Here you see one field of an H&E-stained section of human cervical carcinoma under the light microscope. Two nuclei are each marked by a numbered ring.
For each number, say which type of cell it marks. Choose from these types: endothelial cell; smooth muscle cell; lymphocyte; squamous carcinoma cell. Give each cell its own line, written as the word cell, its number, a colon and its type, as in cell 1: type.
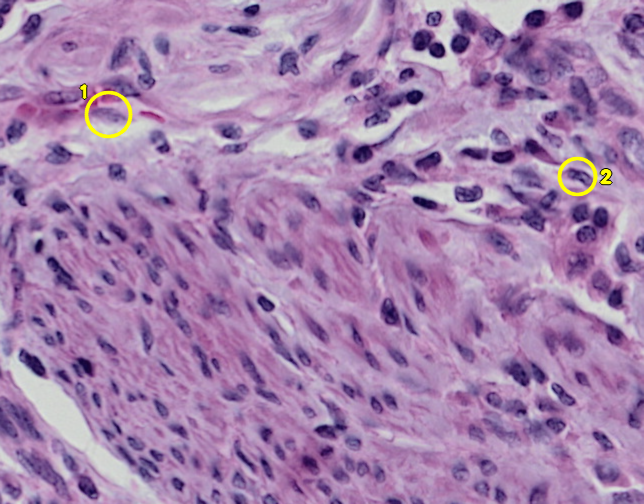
cell 1: endothelial cell
cell 2: lymphocyte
